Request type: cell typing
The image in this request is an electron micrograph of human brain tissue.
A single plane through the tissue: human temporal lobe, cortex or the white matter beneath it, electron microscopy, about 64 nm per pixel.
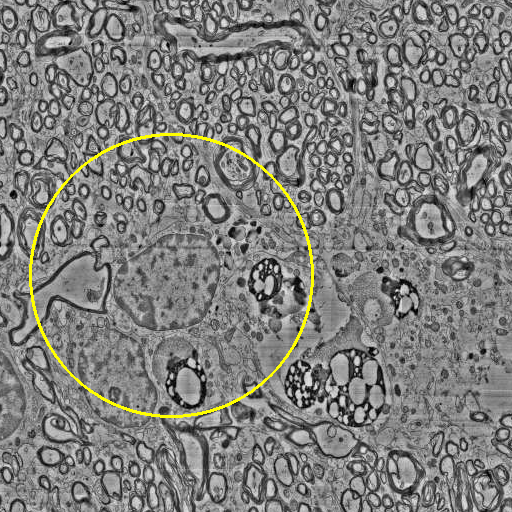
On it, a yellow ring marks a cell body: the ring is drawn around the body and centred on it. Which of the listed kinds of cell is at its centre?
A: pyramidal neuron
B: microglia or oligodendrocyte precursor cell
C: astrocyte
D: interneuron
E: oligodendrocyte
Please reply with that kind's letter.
B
